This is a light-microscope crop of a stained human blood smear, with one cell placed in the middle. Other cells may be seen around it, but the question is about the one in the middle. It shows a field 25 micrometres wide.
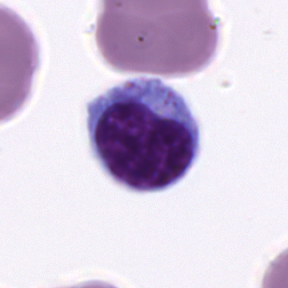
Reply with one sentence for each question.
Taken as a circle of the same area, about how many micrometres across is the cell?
It measures about 10 micrometres across.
